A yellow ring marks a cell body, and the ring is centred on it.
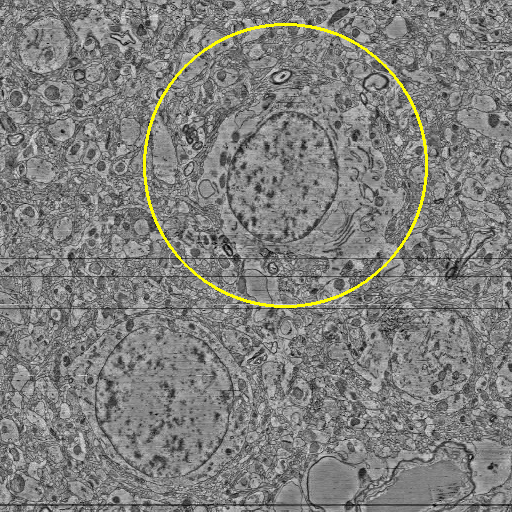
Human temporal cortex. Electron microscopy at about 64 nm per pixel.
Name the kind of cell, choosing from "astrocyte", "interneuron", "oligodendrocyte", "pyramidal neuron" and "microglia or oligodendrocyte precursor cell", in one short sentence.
The marked cell body belongs to an astrocyte.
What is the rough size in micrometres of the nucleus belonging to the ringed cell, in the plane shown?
In this plane the nucleus measures roughly 9 by 7 micrometres.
